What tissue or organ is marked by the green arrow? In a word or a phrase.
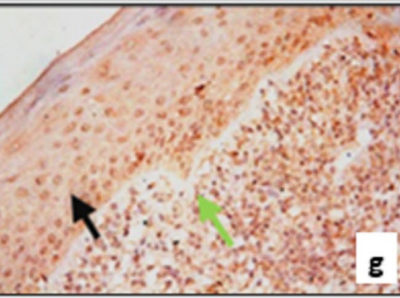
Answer: Connective tissue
